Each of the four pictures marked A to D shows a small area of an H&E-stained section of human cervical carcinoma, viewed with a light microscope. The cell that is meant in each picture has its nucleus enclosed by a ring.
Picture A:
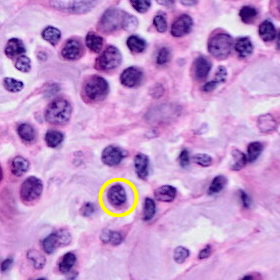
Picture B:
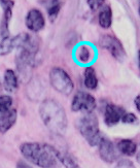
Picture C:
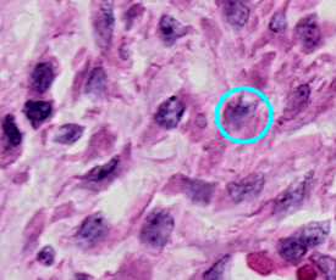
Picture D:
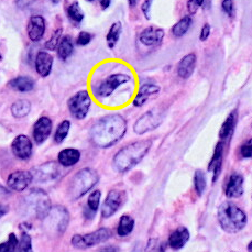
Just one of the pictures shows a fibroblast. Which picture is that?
C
